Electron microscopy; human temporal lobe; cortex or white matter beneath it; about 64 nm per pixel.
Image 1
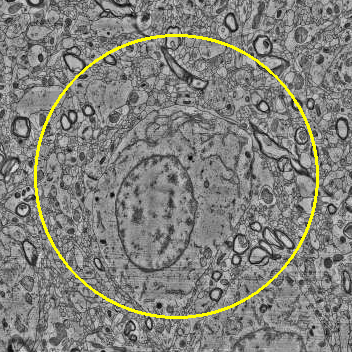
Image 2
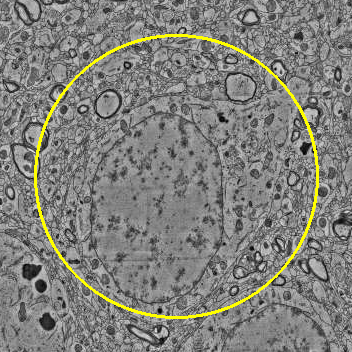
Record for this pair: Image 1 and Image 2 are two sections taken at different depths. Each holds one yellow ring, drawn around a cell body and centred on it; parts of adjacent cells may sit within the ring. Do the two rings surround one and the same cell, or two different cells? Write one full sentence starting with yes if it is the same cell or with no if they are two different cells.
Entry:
Yes, both circles in yellow pick out the same cell.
